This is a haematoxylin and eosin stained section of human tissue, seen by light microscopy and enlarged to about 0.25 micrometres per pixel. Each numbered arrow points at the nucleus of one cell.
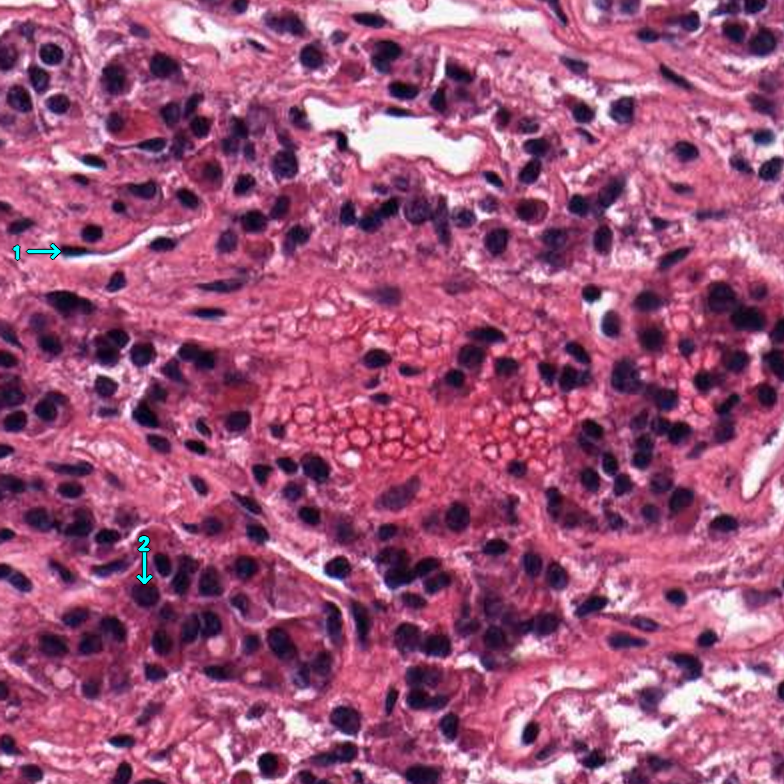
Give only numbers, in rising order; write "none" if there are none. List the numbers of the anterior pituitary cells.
2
